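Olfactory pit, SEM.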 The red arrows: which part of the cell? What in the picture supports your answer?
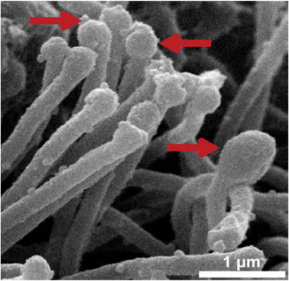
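Many slender projections end in rounded, knob-like ends. The red arrows point at these ends. The answer: ciliary tips.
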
